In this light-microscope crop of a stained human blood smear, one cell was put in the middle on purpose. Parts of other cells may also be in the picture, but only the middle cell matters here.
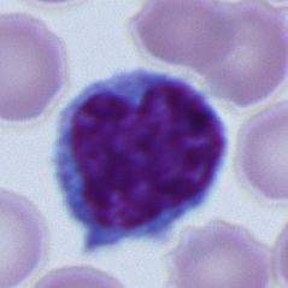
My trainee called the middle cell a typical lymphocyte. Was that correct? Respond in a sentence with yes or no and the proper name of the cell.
Yes, that is a typical lymphocyte in the middle of the crop.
